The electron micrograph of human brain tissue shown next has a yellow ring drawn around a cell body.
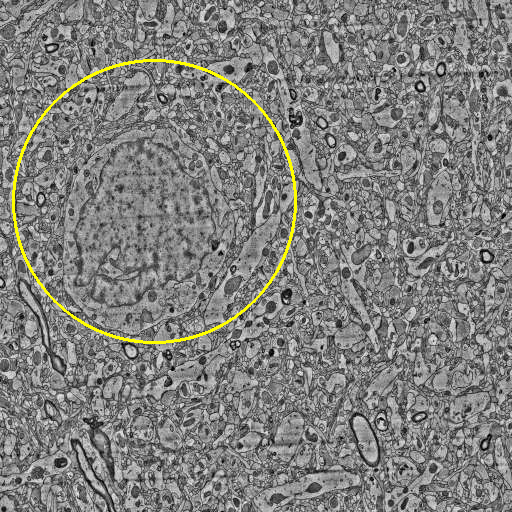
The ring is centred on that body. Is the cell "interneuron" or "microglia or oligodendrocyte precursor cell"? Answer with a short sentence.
The cell in question is an interneuron.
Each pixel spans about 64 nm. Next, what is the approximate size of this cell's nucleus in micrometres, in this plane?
About 11 by 9 micrometers for the nucleus, in this plane.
